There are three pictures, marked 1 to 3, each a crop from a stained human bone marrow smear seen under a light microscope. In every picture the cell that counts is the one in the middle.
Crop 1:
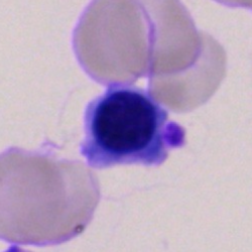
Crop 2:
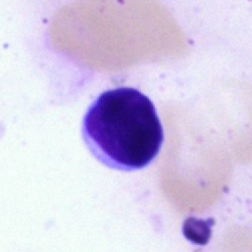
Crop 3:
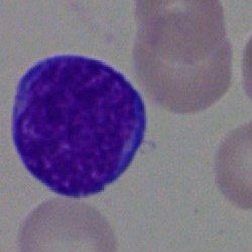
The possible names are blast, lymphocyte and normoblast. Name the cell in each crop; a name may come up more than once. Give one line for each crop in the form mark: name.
1: normoblast
2: lymphocyte
3: blast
